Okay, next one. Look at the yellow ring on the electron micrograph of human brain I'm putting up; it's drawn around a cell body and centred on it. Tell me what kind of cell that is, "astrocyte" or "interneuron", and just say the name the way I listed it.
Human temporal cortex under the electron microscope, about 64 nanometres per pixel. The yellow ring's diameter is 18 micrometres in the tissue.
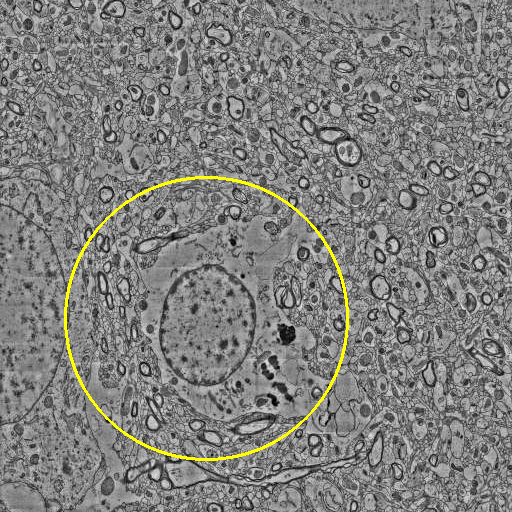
astrocyte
